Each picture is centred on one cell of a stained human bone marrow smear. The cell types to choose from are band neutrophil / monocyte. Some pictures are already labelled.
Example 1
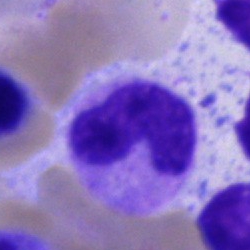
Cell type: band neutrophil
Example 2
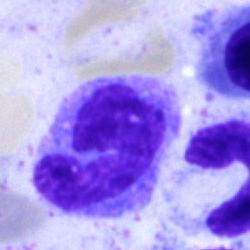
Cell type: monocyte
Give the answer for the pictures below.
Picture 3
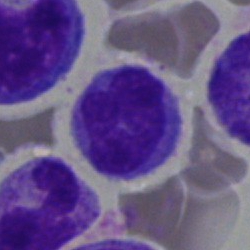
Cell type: monocyte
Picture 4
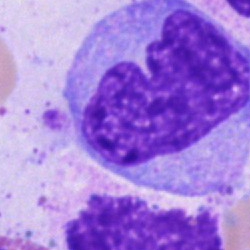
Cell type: monocyte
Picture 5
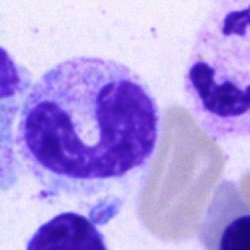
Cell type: band neutrophil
